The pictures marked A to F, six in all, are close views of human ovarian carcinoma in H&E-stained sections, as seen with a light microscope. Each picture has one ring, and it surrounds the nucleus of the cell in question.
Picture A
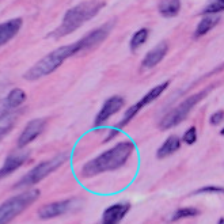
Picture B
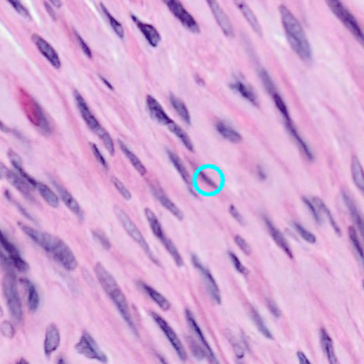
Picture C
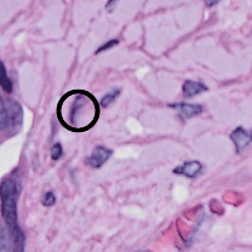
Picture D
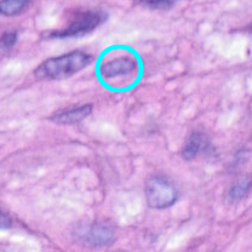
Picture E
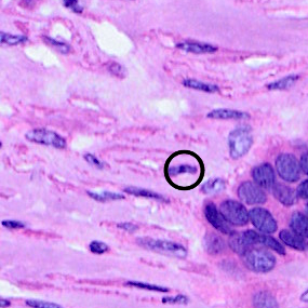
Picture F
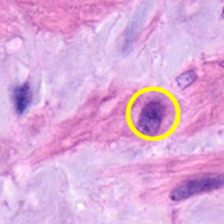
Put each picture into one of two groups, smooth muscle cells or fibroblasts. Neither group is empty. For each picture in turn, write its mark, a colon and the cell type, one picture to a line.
A: smooth muscle cell
B: smooth muscle cell
C: fibroblast
D: fibroblast
E: fibroblast
F: smooth muscle cell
